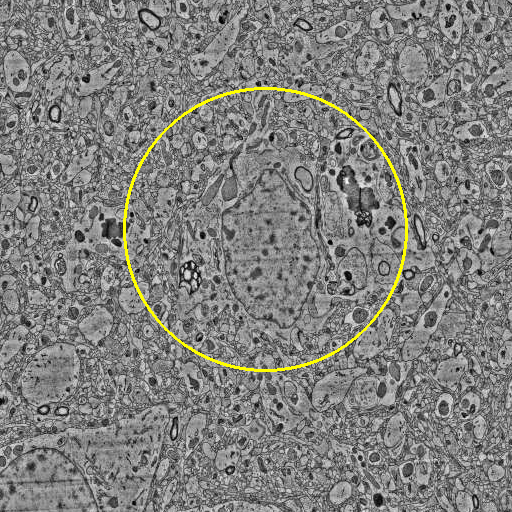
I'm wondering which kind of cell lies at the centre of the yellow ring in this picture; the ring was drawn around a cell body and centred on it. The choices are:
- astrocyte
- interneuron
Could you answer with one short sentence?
At the centre of the ring lies an astrocyte.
